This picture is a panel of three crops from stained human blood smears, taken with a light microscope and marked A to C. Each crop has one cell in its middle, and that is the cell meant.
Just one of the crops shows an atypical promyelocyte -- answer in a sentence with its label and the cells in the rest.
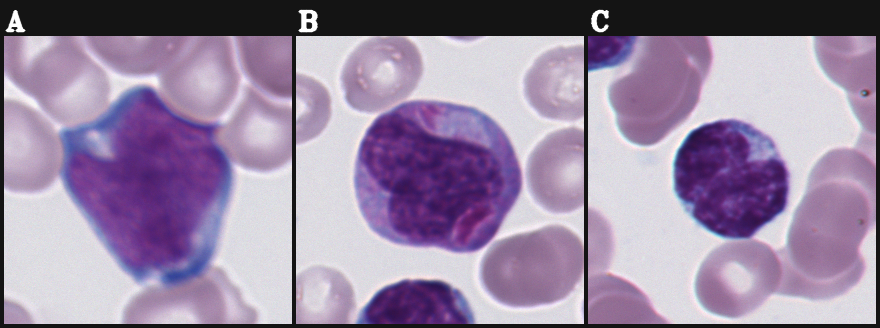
Inside crop B there is an atypical promyelocyte, while crop A is a myeloblast and crop C is a lymphocyte.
